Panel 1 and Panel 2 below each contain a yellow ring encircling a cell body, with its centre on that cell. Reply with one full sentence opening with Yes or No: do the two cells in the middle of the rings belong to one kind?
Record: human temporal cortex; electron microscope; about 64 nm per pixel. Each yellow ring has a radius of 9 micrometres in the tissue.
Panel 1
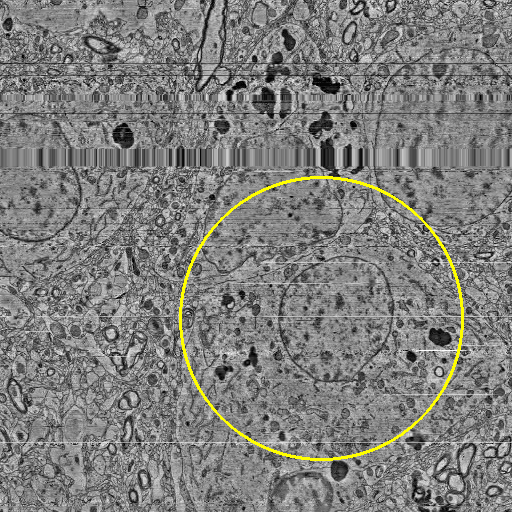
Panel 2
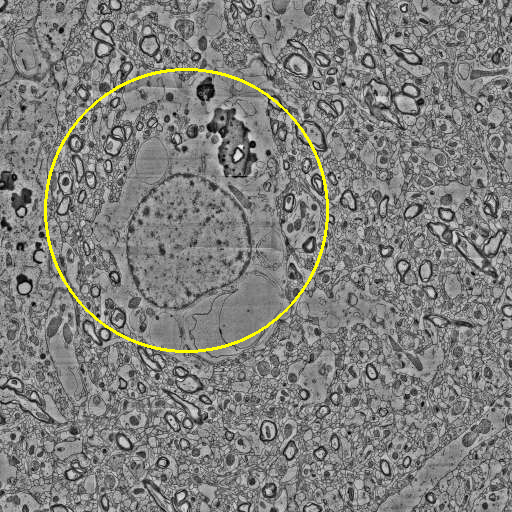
No, the cells at the middle of the Panel 1 ring and the Panel 2 ring are of two kinds.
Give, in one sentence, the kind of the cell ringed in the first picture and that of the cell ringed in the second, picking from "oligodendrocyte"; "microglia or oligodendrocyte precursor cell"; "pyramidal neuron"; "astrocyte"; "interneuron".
For the first picture it is a pyramidal neuron; for the second, an astrocyte.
